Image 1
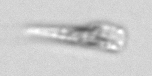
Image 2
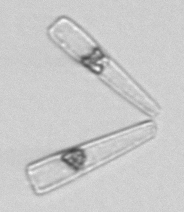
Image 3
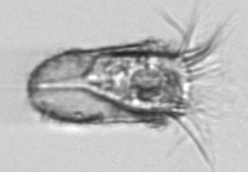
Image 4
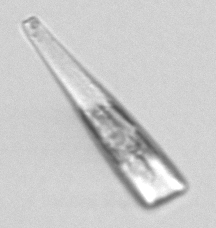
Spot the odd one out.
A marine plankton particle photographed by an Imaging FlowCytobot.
Picture 3 (a tintinnid among Licmophora).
